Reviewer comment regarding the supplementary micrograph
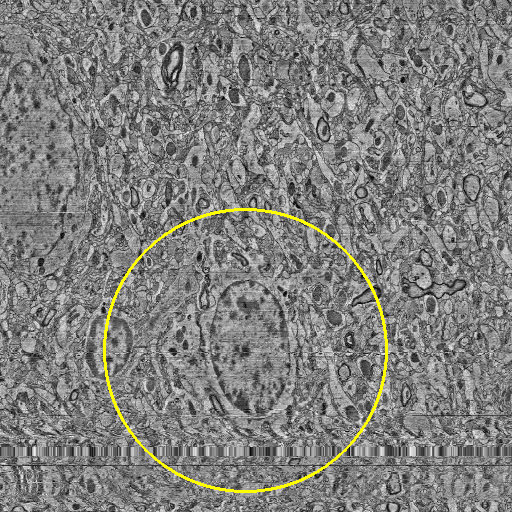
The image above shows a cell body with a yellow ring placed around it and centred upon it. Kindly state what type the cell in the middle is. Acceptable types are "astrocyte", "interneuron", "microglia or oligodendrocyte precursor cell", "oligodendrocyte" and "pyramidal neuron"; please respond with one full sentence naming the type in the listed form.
In the image above, the cell on which the yellow ring is centred is an astrocyte.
